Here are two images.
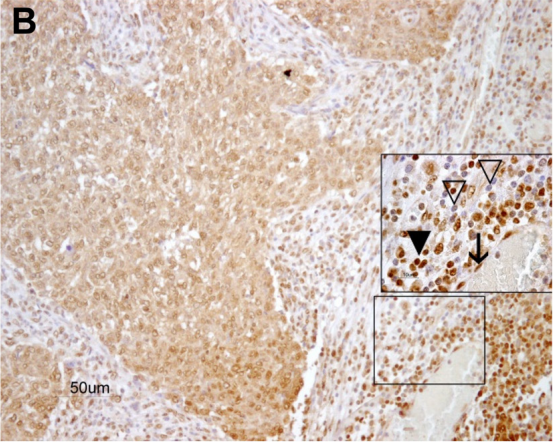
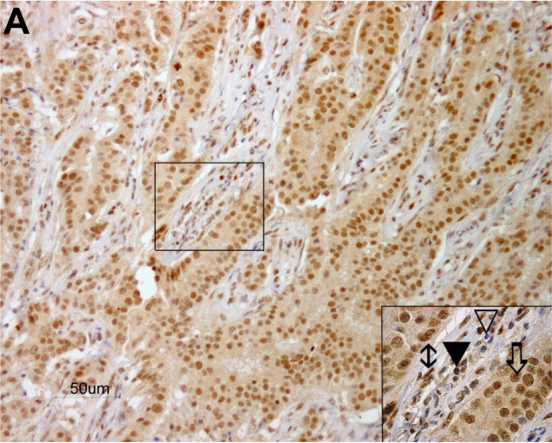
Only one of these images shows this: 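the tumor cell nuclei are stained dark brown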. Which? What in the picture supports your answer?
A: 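First image: the large tumor nest has pale, diffuse light-brown staining with indistinct nuclei. Second image: the tumor cords show many distinct dark brown round nuclei. The answer: the second image.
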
